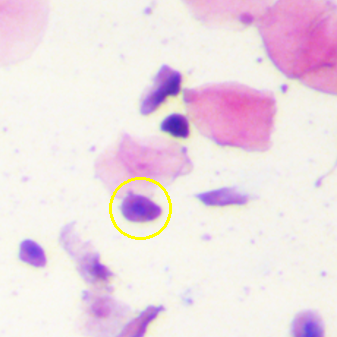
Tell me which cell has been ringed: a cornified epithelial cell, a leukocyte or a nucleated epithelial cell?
It is a nucleated epithelial cell.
